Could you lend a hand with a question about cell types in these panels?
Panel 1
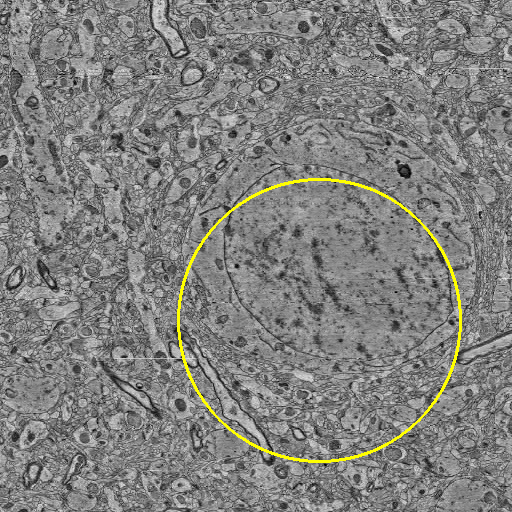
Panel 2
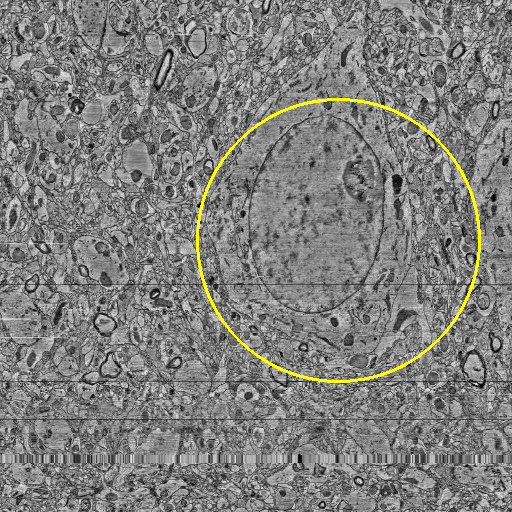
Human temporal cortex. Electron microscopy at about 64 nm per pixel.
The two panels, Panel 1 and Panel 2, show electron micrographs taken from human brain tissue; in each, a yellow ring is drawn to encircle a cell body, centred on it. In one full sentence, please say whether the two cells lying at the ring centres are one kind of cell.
Yes, the cells at the ring centres in the two panels are one kind of cell.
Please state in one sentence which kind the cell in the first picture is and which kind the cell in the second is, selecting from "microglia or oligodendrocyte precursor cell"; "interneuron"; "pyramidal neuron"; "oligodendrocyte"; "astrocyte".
Both rings mark a pyramidal neuron, one in each picture.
